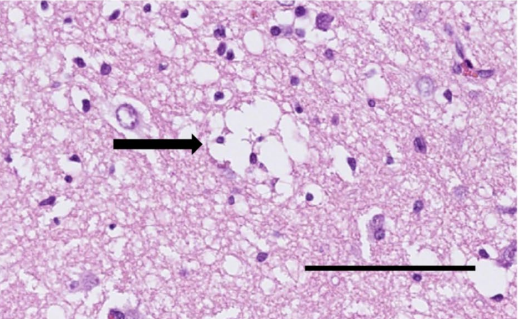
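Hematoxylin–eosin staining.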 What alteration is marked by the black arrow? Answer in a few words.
clustered vacuoles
